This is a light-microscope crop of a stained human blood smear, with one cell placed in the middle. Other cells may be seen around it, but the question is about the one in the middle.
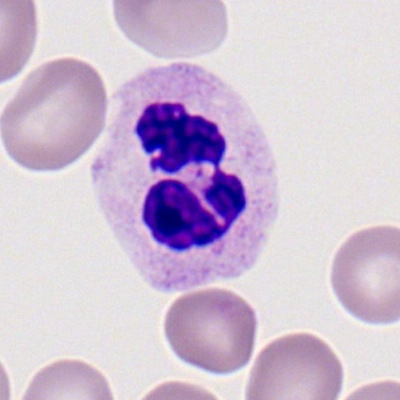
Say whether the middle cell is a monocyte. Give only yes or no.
no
